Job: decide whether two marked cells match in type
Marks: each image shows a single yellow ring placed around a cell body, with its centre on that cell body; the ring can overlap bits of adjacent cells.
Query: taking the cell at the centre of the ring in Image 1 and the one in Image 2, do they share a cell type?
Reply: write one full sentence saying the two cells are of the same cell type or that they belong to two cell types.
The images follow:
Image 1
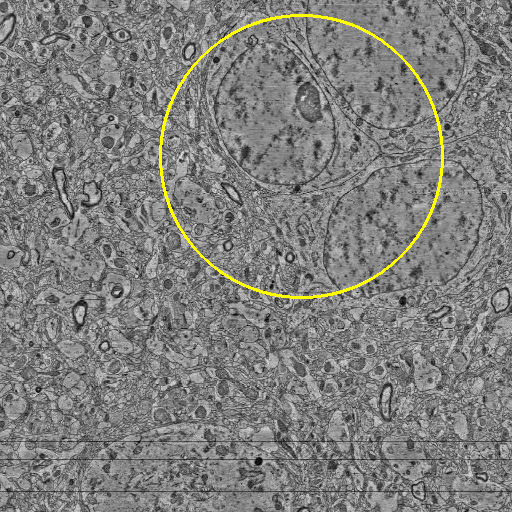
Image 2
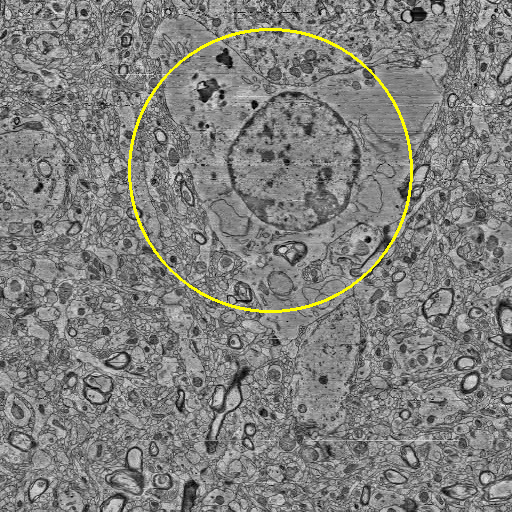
The cells at the ring centres in Image 1 and Image 2 belong to two cell types.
